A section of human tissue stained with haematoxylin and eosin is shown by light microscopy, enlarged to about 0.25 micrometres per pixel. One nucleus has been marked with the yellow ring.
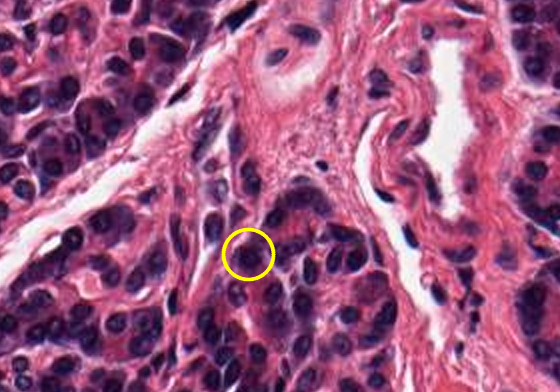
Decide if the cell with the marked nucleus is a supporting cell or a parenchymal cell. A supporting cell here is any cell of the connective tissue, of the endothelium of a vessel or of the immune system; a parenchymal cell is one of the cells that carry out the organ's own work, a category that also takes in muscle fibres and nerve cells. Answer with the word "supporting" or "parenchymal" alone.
parenchymal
